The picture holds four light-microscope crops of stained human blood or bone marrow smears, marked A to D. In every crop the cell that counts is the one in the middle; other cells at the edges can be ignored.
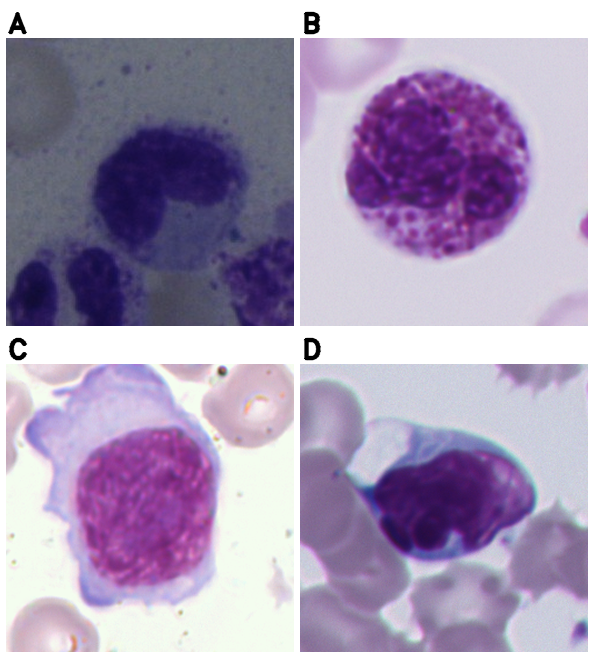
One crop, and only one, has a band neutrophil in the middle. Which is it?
A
